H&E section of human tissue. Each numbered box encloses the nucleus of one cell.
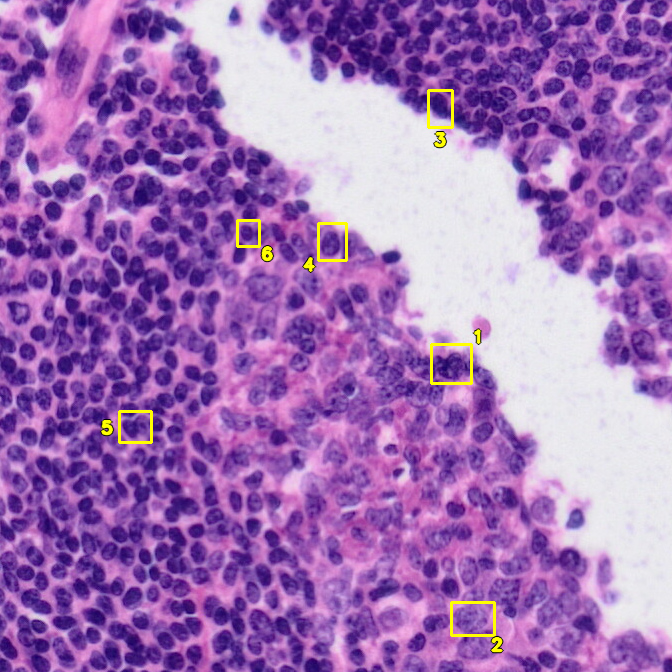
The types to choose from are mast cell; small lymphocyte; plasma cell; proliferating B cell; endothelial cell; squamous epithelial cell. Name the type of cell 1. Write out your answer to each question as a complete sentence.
The correct answer for cell 1 is a proliferating B cell.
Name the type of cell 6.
The label 6 in this section denotes a small lymphocyte.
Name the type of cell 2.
Here, the cell given the number 2 is a proliferating B cell.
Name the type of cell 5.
The cell that is numbered 5 is a small lymphocyte.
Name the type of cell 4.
The cell identified by number 4 is a proliferating B cell.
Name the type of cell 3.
Identified by the number 3, the cell is a small lymphocyte.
